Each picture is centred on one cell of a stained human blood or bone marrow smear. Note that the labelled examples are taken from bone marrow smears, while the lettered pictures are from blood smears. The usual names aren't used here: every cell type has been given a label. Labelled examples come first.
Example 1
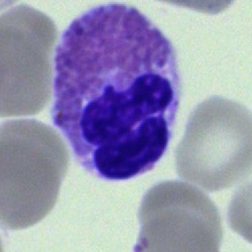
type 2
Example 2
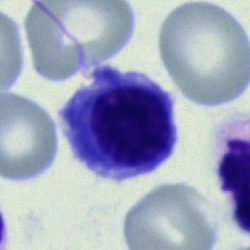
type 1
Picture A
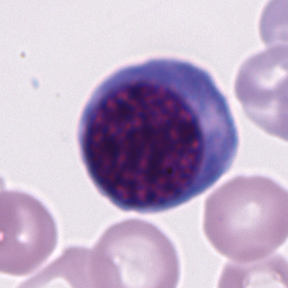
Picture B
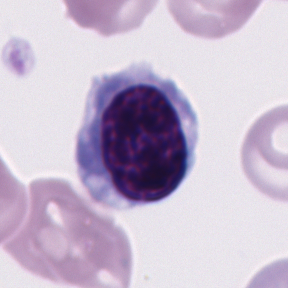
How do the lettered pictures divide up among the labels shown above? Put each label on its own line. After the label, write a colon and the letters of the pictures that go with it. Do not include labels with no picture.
type 1: A, B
